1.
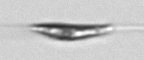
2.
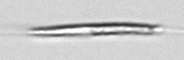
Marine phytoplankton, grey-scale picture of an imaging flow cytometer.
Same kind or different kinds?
Same: euglenophytes.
